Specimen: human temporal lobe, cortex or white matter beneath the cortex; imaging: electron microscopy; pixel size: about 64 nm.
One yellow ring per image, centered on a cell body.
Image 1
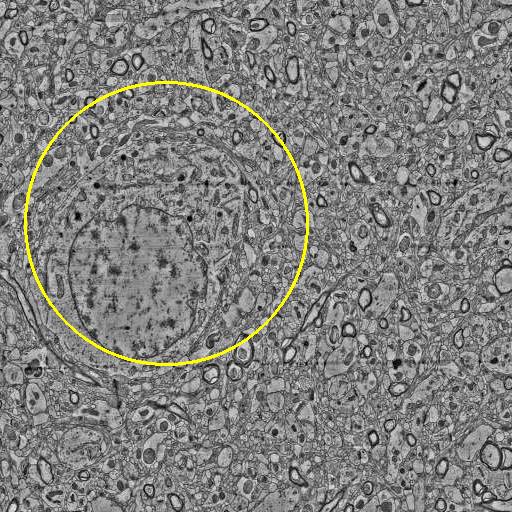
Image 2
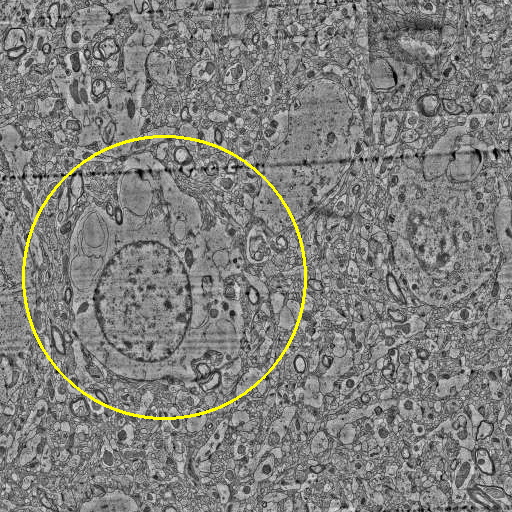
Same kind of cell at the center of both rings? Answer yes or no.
no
